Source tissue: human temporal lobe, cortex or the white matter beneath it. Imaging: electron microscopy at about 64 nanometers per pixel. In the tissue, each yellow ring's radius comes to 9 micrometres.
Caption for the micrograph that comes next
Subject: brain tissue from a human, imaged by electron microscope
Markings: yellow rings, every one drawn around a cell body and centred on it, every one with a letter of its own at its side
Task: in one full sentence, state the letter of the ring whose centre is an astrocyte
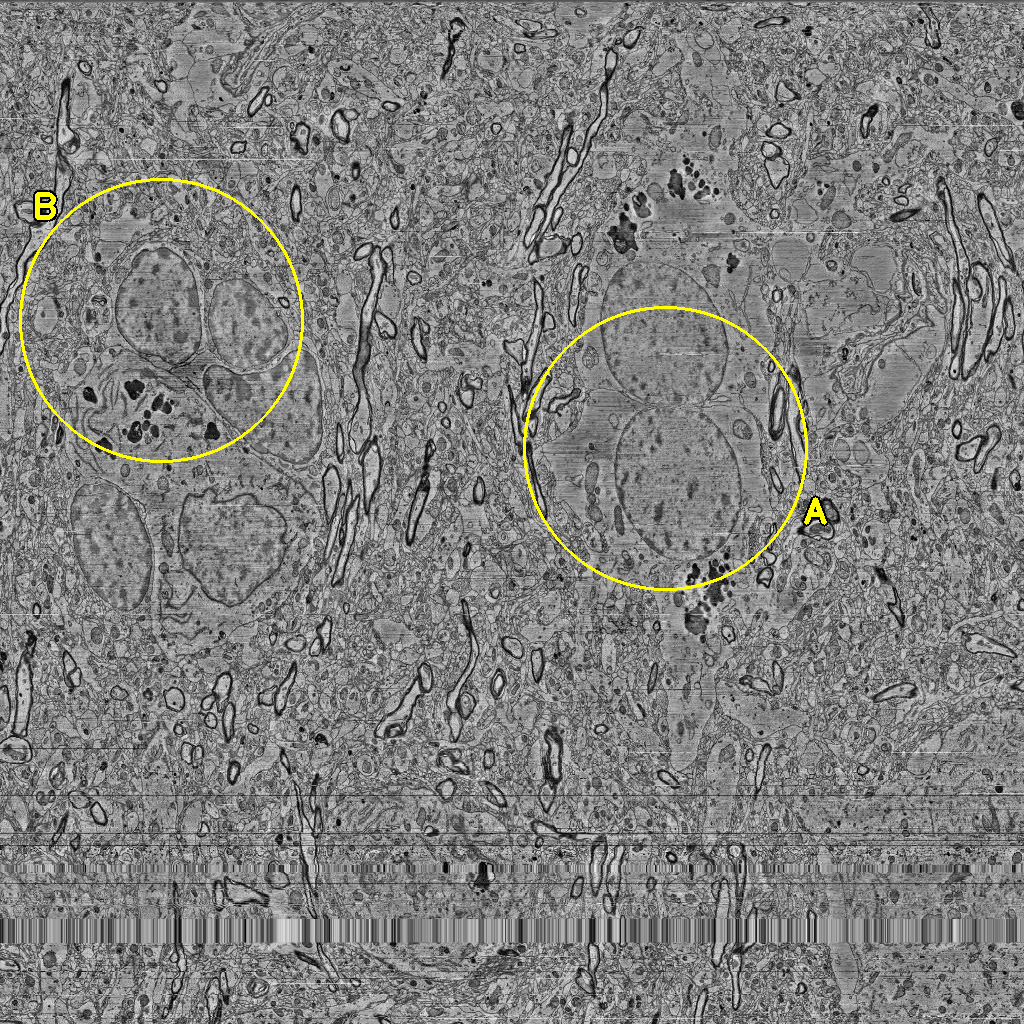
The ring centred on the cell asked for in this micrograph carries the letter A.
